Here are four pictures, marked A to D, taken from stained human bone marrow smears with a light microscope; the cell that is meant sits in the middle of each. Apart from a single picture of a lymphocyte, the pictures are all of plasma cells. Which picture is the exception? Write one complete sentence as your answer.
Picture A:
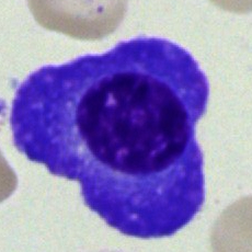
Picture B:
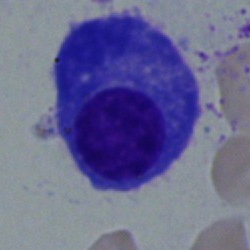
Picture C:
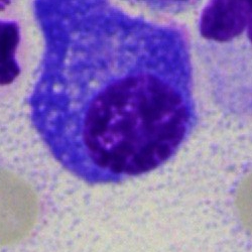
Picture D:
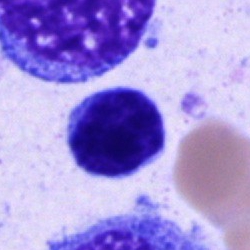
The lymphocyte is the one in picture D.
